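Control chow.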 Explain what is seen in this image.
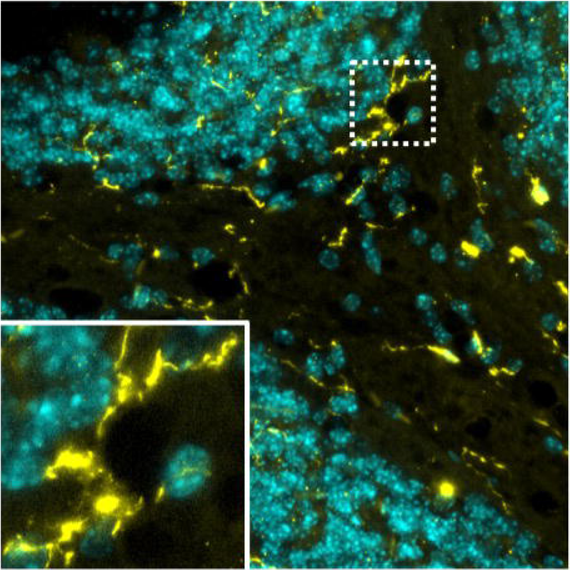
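Section of cerebellum with cyan nuclei densely packed in bands on either side of a darker, sparsely nucleated tract. Scattered yellow microglia with small bodies and thin, branching processes lie among and between the nuclei, one shown enlarged in the inset.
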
